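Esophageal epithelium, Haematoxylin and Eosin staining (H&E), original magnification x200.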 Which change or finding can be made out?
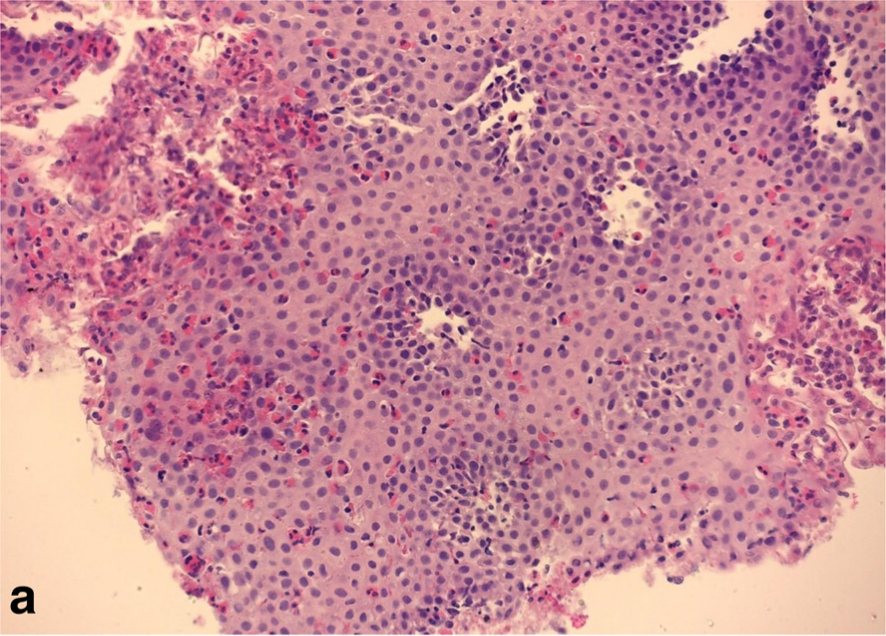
Eosinophilic cellular infiltrate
